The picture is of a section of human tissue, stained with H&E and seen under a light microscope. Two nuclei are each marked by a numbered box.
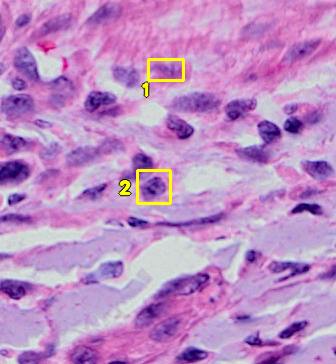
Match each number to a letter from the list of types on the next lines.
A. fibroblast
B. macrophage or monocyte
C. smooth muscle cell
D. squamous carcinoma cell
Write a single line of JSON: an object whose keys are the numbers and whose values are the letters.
{"1": "A", "2": "B"}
